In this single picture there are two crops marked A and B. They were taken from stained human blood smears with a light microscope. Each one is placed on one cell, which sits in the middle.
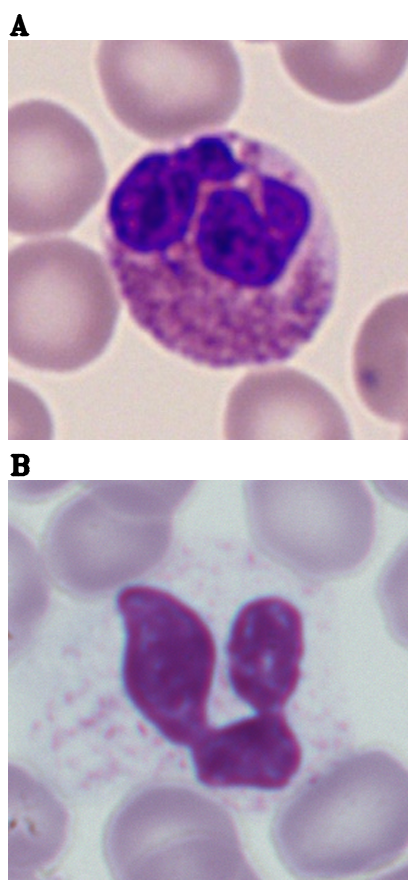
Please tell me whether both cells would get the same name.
no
